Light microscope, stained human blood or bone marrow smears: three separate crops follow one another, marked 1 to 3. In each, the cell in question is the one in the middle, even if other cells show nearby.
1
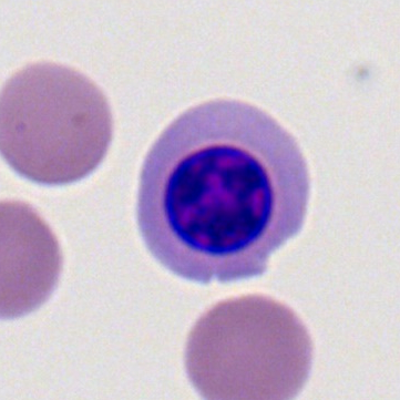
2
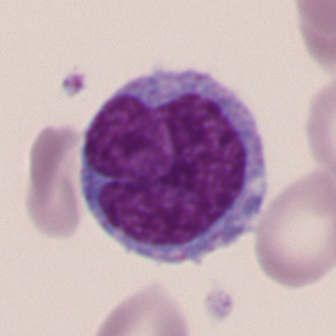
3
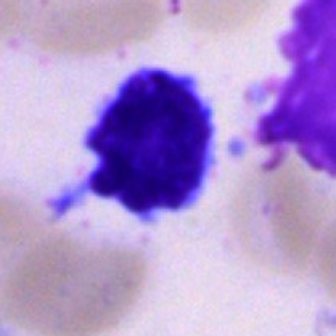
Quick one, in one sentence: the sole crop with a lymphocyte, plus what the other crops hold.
Shown in crop 3 is a lymphocyte, whereas crop 1 is a normoblast and crop 2 is a monocyte.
